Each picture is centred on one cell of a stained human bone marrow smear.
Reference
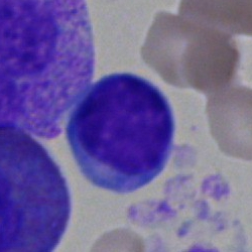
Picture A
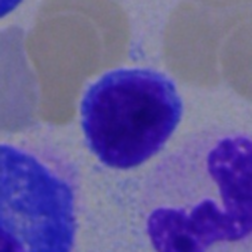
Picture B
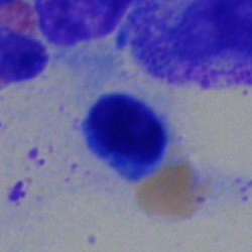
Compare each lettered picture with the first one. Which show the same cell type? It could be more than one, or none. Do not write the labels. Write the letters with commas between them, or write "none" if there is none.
A, B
